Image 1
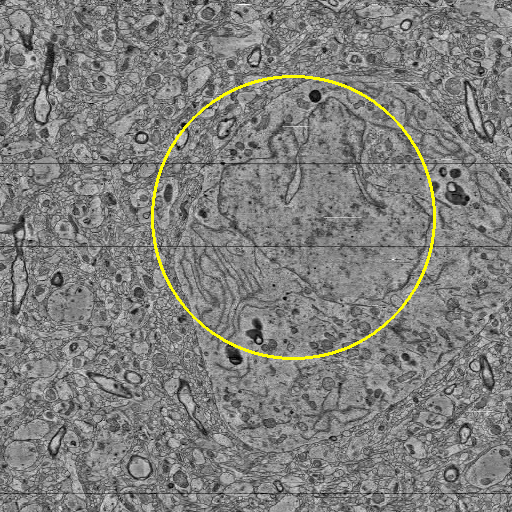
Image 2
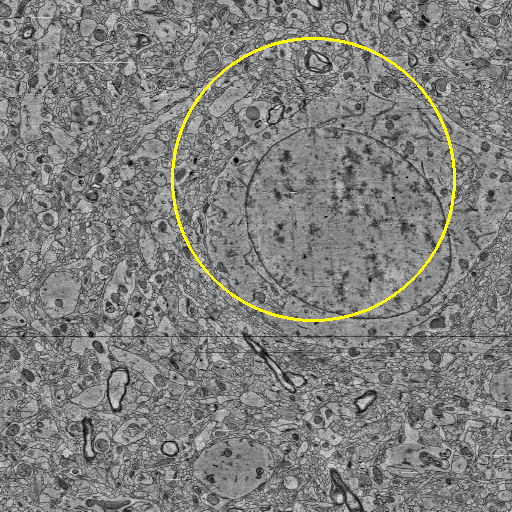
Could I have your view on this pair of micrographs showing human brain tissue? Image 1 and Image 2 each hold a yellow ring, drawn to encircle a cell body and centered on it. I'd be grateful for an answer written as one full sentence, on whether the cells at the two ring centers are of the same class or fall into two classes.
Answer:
The cells at the centers of the two rings fall into two classes.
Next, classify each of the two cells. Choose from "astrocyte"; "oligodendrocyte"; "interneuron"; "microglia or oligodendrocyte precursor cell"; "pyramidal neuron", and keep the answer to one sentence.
In the first picture it is an interneuron; in the second it is a pyramidal neuron.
